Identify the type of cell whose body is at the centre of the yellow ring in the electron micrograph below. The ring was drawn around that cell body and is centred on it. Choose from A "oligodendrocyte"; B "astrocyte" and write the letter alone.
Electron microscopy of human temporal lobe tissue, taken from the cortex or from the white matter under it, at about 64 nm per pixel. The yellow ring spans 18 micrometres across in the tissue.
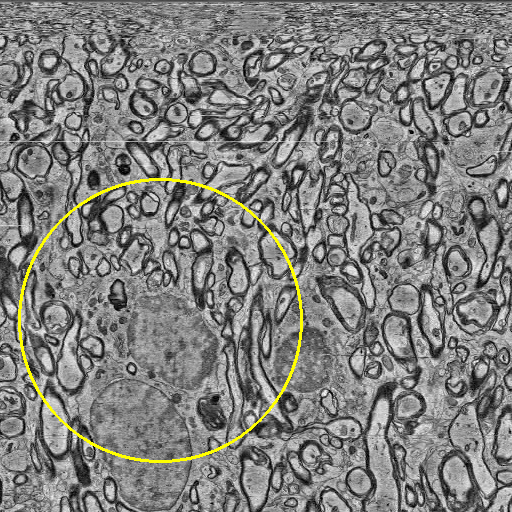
A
